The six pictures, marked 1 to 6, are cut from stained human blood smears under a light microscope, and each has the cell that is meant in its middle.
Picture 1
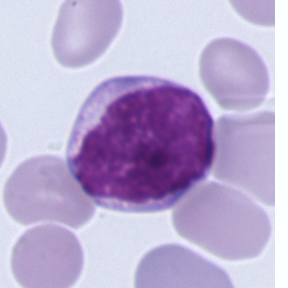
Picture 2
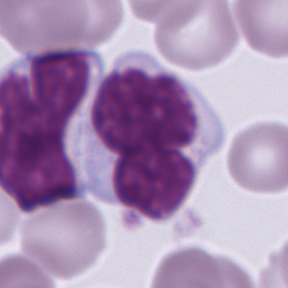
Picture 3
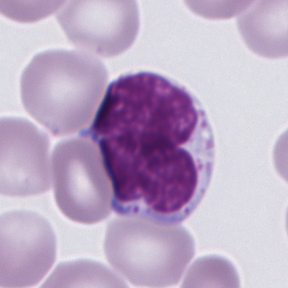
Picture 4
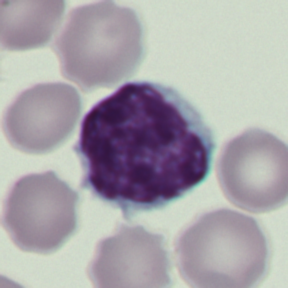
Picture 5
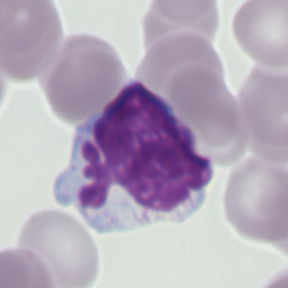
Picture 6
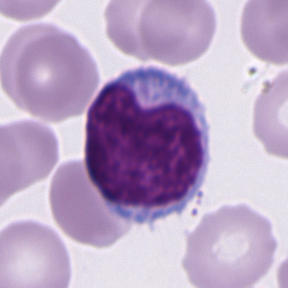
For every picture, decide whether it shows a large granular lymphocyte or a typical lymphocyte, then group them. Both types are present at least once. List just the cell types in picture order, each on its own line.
large granular lymphocyte
large granular lymphocyte
large granular lymphocyte
typical lymphocyte
large granular lymphocyte
typical lymphocyte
